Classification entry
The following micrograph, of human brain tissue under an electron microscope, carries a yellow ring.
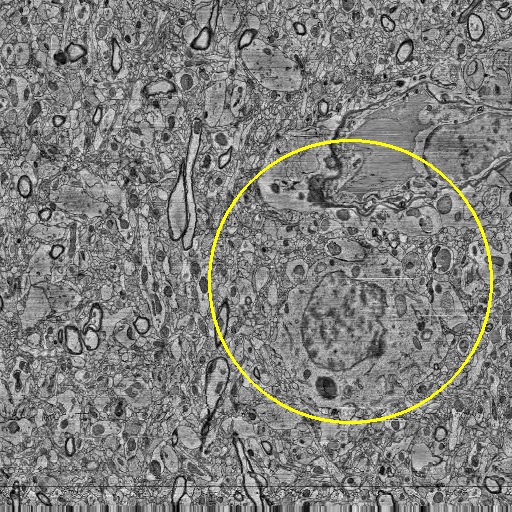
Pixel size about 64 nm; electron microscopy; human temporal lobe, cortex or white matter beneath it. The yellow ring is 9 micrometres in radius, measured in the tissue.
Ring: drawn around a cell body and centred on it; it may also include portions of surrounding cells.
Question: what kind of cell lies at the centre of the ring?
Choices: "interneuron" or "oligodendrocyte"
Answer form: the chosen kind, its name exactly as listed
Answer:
interneuron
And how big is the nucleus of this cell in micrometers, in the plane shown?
About 6 micrometres across in this plane.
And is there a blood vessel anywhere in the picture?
Yes, a blood vessel is present in this picture.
